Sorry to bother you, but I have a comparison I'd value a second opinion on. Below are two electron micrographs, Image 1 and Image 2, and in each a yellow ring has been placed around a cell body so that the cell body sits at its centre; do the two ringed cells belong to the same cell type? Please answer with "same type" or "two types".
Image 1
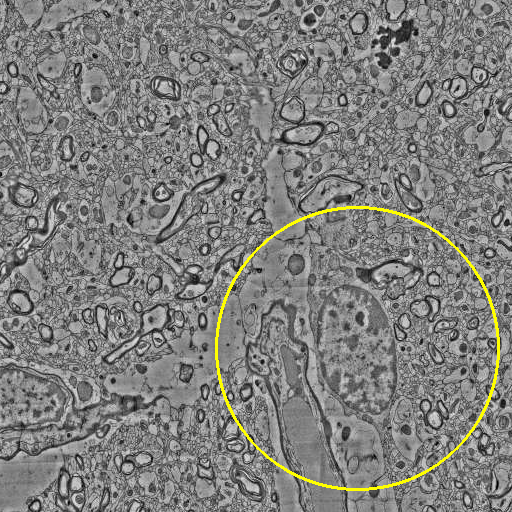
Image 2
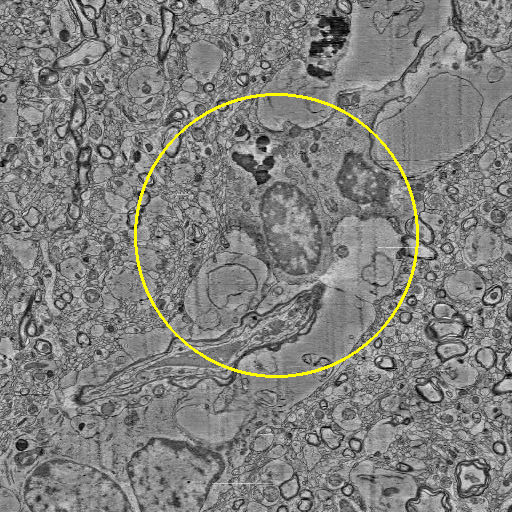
same type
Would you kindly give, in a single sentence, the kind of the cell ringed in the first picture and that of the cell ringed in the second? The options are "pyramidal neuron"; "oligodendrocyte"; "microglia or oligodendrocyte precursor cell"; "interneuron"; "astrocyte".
In the first picture and in the second, the ring is centred on an oligodendrocyte.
